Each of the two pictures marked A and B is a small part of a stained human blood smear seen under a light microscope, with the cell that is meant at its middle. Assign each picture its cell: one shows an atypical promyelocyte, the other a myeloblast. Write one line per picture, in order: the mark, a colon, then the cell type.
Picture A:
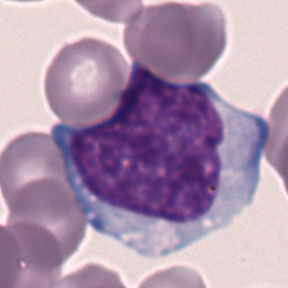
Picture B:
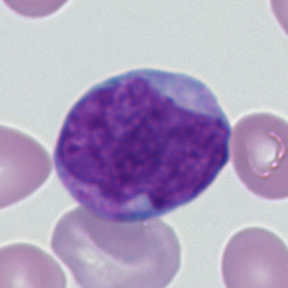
A: myeloblast
B: atypical promyelocyte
